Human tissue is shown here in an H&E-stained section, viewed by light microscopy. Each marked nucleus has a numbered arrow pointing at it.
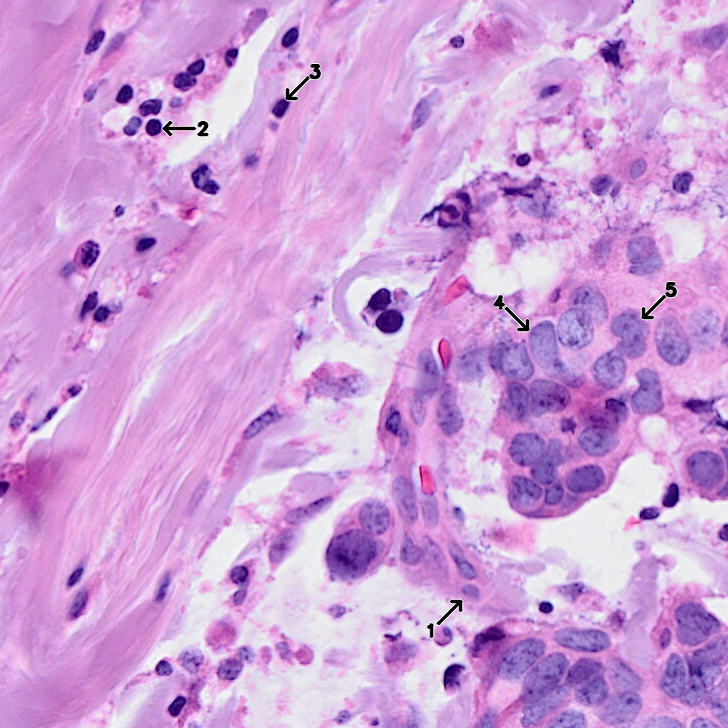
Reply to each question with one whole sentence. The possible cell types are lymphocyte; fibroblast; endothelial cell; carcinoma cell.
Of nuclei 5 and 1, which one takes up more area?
At about 4 times the area of nucleus 1, nucleus 5 is the larger of the two.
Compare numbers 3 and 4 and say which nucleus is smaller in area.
With nucleus 4 about 3 times its size, nucleus 3 is the smaller of the two.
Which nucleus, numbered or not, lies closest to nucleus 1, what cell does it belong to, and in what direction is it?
An endothelial cell lies closest, above nucleus 1.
